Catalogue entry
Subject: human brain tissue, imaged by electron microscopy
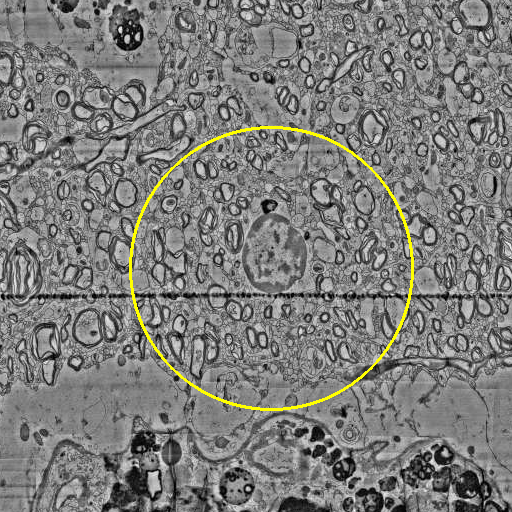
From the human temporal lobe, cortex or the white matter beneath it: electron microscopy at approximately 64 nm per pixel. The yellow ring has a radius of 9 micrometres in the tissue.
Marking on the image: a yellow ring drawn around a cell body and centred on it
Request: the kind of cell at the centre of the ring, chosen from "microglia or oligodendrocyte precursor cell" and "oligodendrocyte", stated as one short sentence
The ring has a microglial cell or oligodendrocyte precursor cell at its centre.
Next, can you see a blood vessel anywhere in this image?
Yes.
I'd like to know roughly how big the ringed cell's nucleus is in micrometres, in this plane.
The nucleus measures about 5 micrometers across in this plane.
